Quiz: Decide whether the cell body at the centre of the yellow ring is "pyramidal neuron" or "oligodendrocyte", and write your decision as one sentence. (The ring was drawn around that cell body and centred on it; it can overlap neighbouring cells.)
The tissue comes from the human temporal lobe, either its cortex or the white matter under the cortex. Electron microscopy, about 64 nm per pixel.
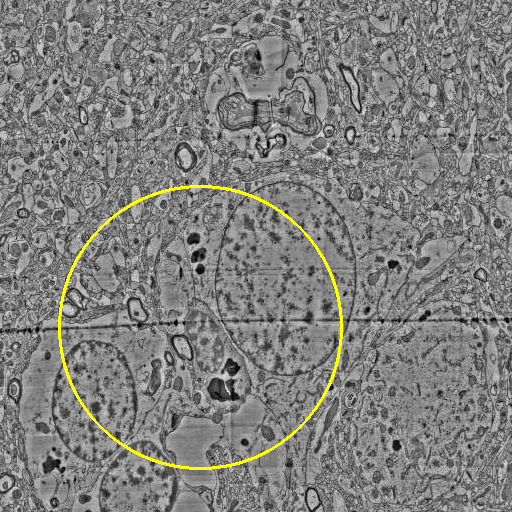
The cell the ring is centred on is an oligodendrocyte.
